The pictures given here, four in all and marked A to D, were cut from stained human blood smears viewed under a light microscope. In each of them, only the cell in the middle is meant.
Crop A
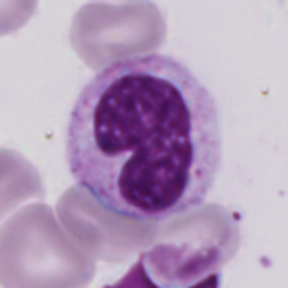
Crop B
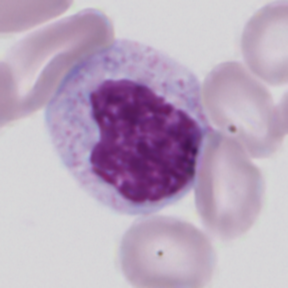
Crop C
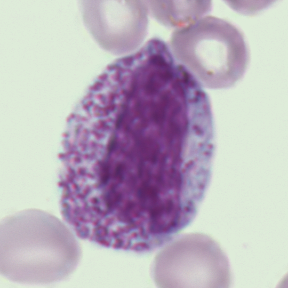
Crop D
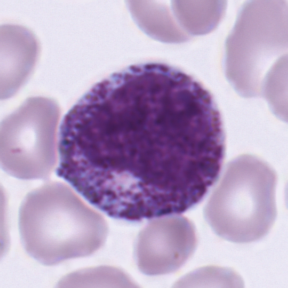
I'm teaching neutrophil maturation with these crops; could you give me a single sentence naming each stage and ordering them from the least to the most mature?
The least to most mature sequence reads crop D (a promyelocyte), crop C (a myelocyte), crop B (a metamyelocyte) and crop A (a band neutrophil).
